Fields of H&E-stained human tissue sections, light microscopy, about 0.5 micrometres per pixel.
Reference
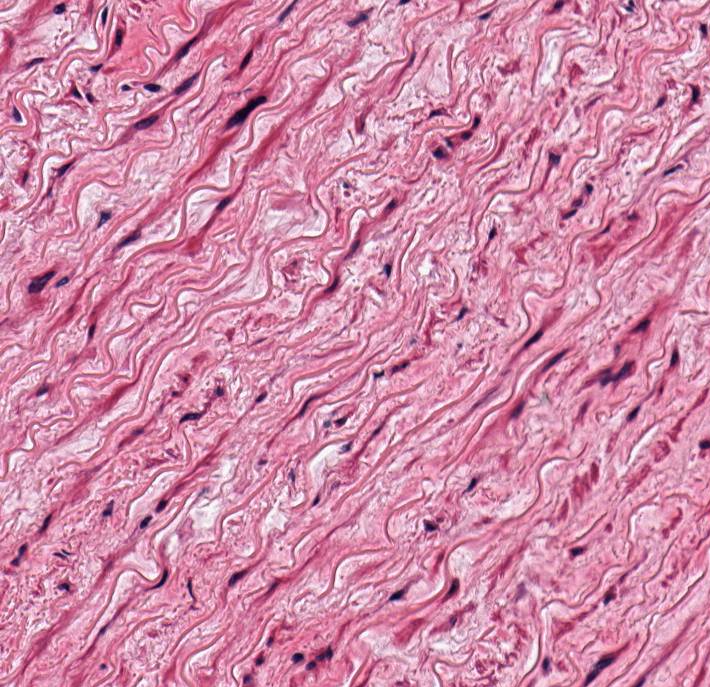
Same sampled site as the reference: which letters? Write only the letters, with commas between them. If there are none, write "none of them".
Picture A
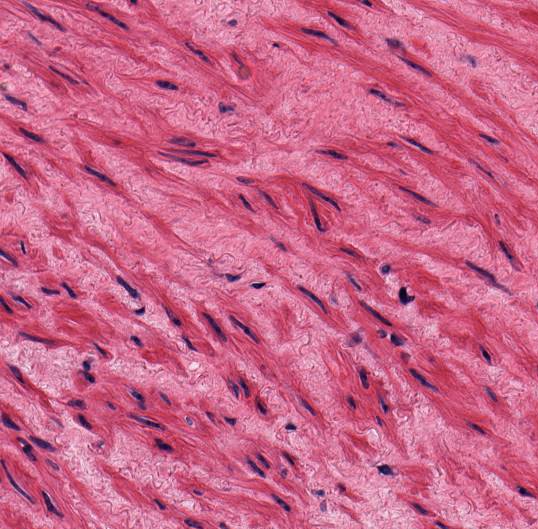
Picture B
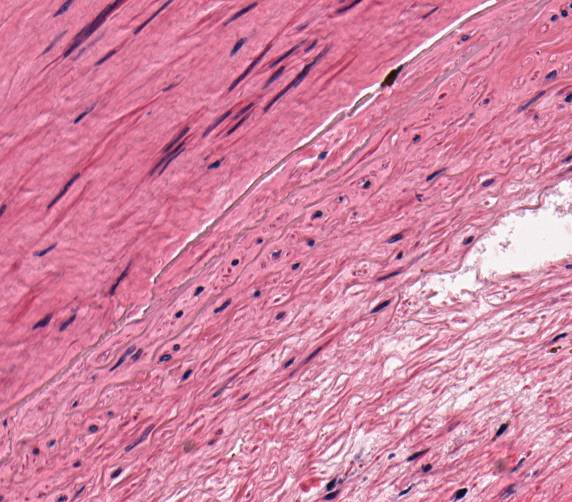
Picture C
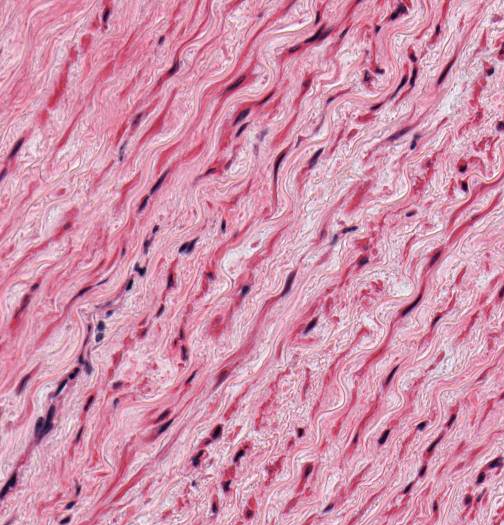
C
